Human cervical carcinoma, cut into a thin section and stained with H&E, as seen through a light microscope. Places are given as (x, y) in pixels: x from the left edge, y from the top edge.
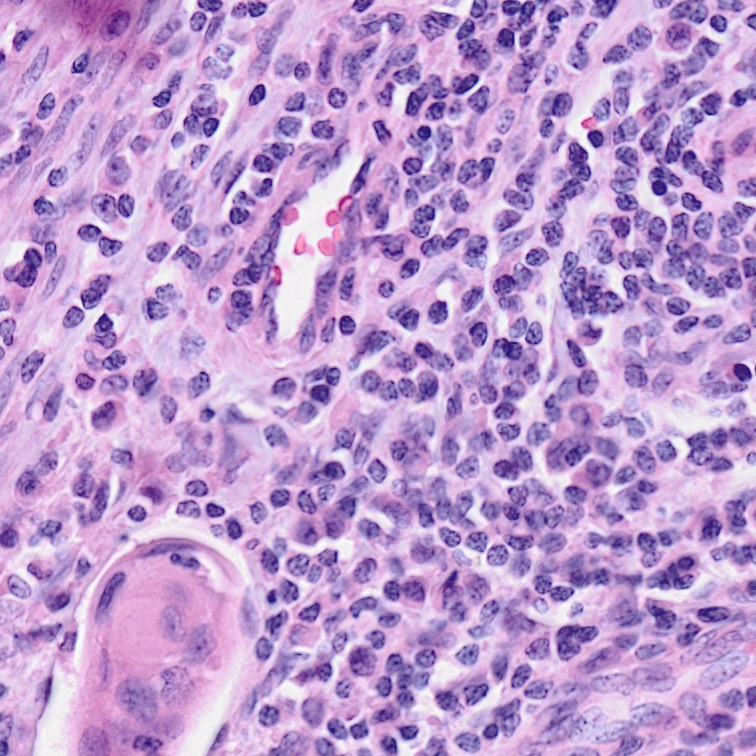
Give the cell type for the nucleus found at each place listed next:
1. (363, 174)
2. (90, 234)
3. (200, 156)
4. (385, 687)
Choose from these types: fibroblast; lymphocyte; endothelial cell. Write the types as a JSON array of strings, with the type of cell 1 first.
["endothelial cell", "lymphocyte", "lymphocyte", "lymphocyte"]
